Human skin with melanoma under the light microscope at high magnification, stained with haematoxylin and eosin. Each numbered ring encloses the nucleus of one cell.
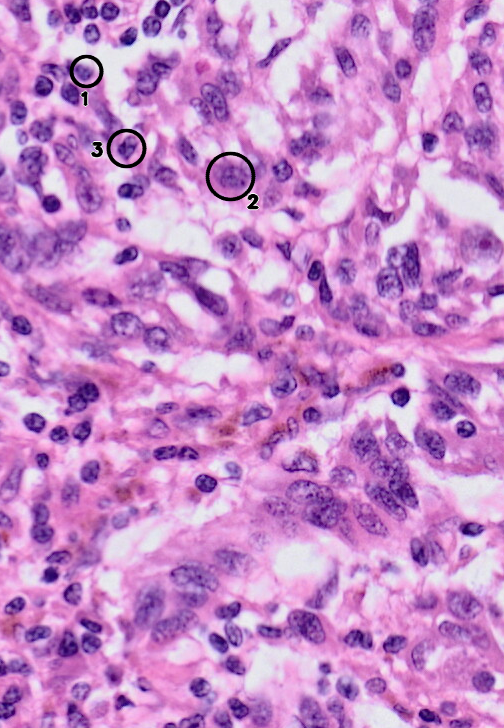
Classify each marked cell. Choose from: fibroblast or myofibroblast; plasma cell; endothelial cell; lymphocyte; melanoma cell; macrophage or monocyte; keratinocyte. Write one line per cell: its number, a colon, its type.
1: lymphocyte
2: melanoma cell
3: lymphocyte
